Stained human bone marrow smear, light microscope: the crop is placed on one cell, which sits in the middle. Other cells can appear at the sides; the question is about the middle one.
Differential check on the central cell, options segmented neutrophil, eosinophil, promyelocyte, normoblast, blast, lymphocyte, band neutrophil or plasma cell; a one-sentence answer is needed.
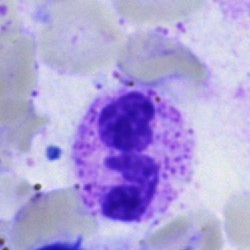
Of the cells in this crop, the central one is a segmented neutrophil.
